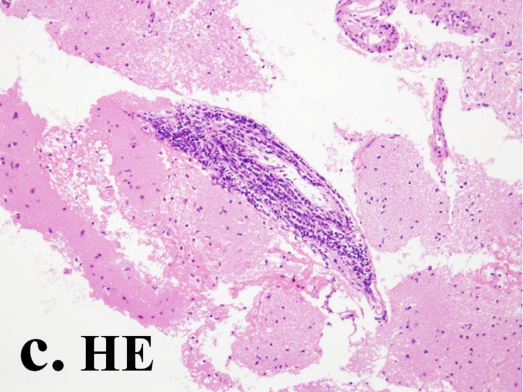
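A dense perivascular cuff of lymphocytes surrounds a small blood vessel cut along its length. The vessel appears as an elongated, spindle-shaped band packed with many small cells bearing round to oval, darkly purple-stained nuclei and scant cytoplasm, stacked in several layers along the vessel wall. The cells look uniform, without large or bizarre nuclei. Around the cuff, the neural tissue stains pale pink, is loose and vacuolated, and contains only sparse scattered nuclei. Clefts of empty space separate fragments of tissue. The contrast between the crowded, dark cuff and the pale surrounding tissue marks the inflammation as centred on the vessel.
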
